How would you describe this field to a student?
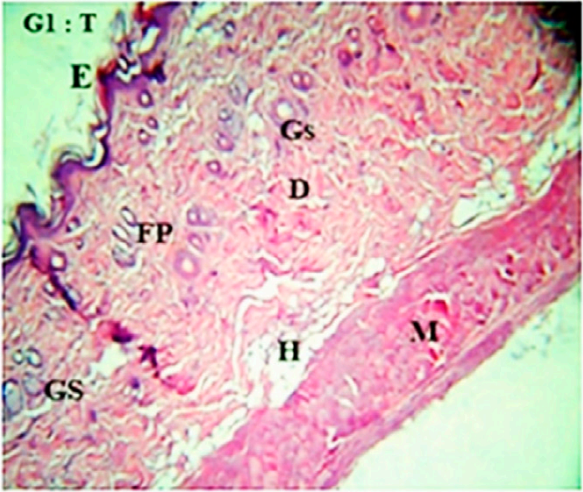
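This is a section of skin with a thin, folded, purple-staining epidermis along the surface. Beneath it the dermis is made of pink, wavy connective tissue fibres in which hair follicles, cut across as small rings, and glands lie scattered.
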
